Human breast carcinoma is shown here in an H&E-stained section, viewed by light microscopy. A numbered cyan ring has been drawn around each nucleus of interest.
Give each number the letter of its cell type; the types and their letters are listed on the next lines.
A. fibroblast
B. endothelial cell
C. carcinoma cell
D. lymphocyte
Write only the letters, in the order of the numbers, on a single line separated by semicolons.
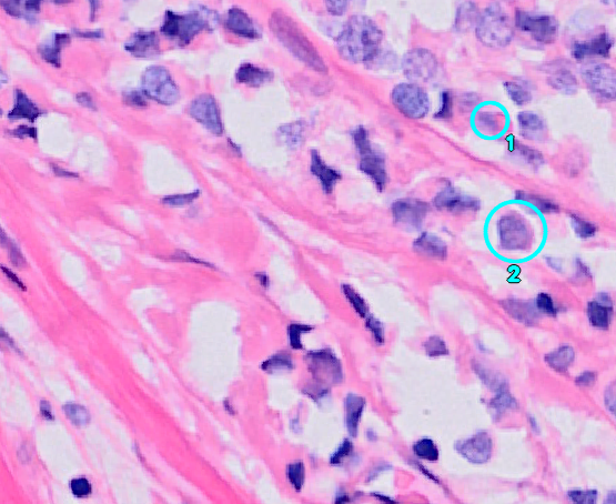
B; C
